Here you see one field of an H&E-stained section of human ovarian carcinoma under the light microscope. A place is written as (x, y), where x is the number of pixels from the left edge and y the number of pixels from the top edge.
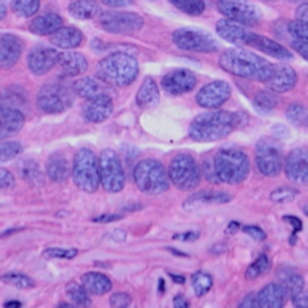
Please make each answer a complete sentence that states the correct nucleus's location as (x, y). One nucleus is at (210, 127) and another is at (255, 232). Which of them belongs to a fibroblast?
The nucleus at (255, 232) is housed in a fibroblast.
